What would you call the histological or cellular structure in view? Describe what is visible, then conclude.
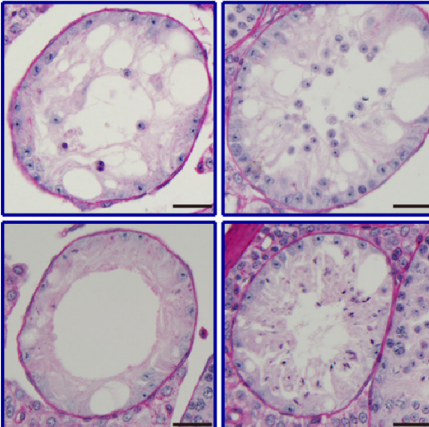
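Each image shows one round tubule cross-section bounded by a thin magenta-stained boundary. Cells with round nuclei line the inside of each boundary around a central space.
Conclusion: seminiferous tubules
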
